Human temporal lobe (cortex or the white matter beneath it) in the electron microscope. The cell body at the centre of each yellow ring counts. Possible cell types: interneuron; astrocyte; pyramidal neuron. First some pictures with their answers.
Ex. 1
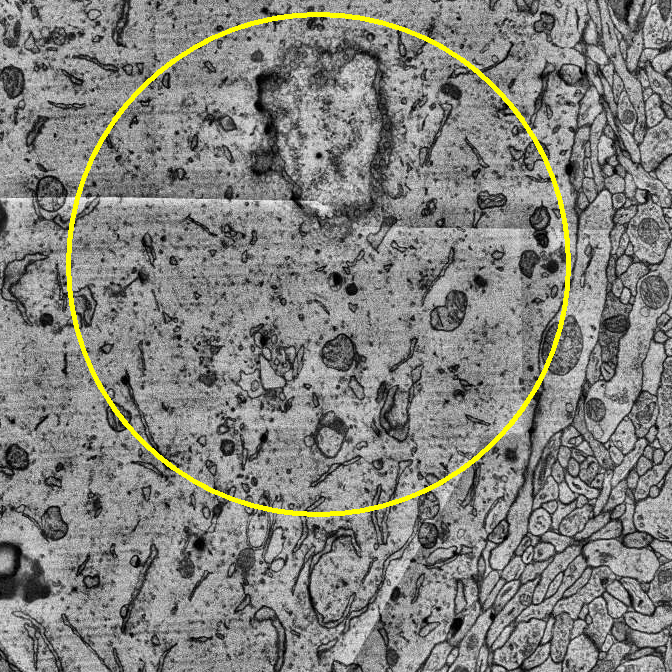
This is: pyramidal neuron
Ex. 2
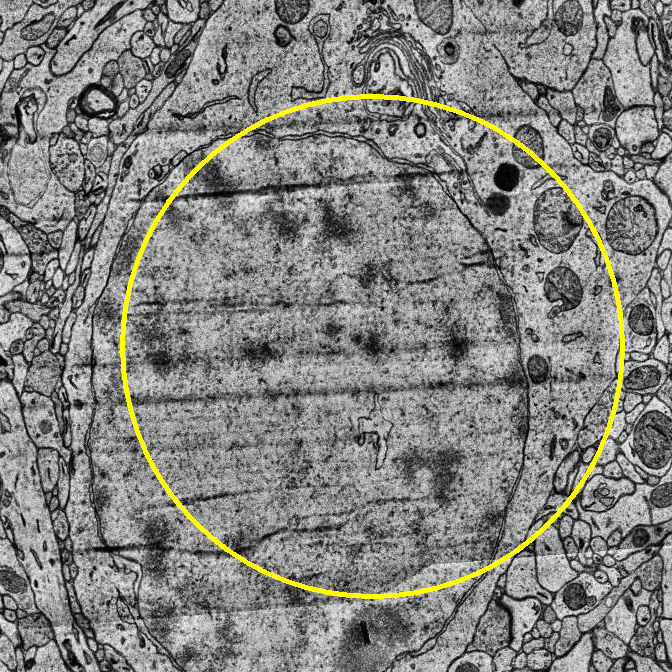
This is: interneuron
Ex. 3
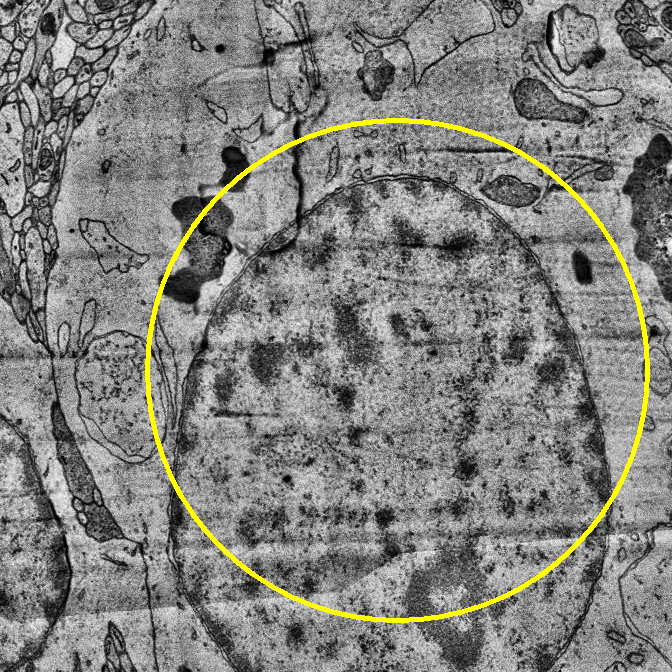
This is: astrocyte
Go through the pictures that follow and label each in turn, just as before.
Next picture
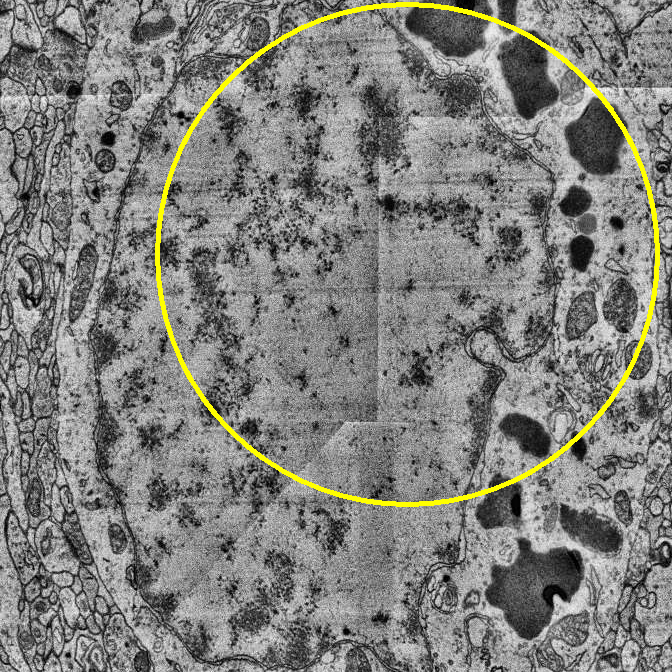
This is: interneuron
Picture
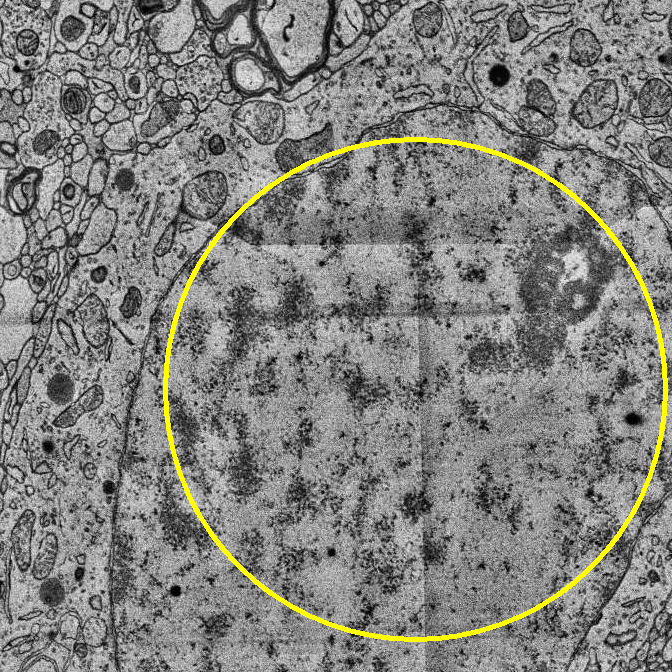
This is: interneuron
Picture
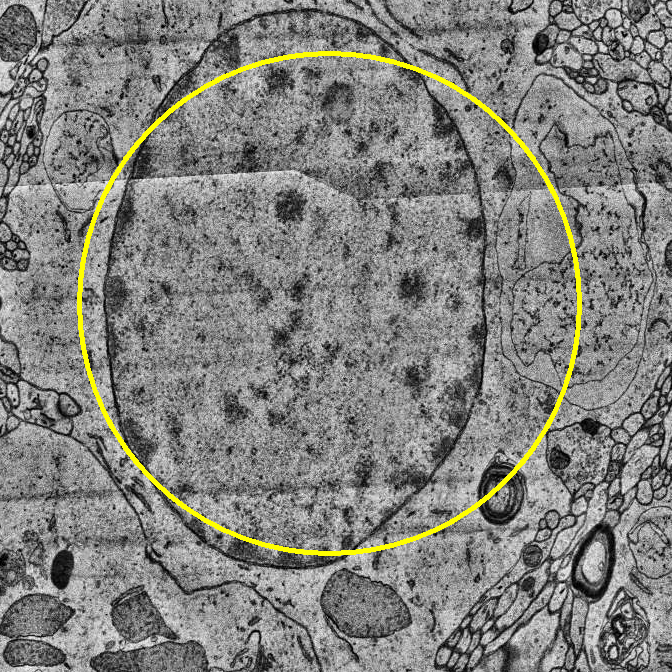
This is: astrocyte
